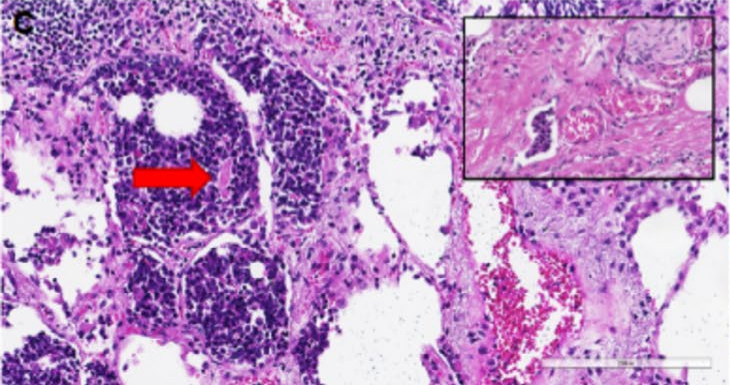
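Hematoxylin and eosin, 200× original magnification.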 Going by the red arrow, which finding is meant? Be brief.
Punctate necrosis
